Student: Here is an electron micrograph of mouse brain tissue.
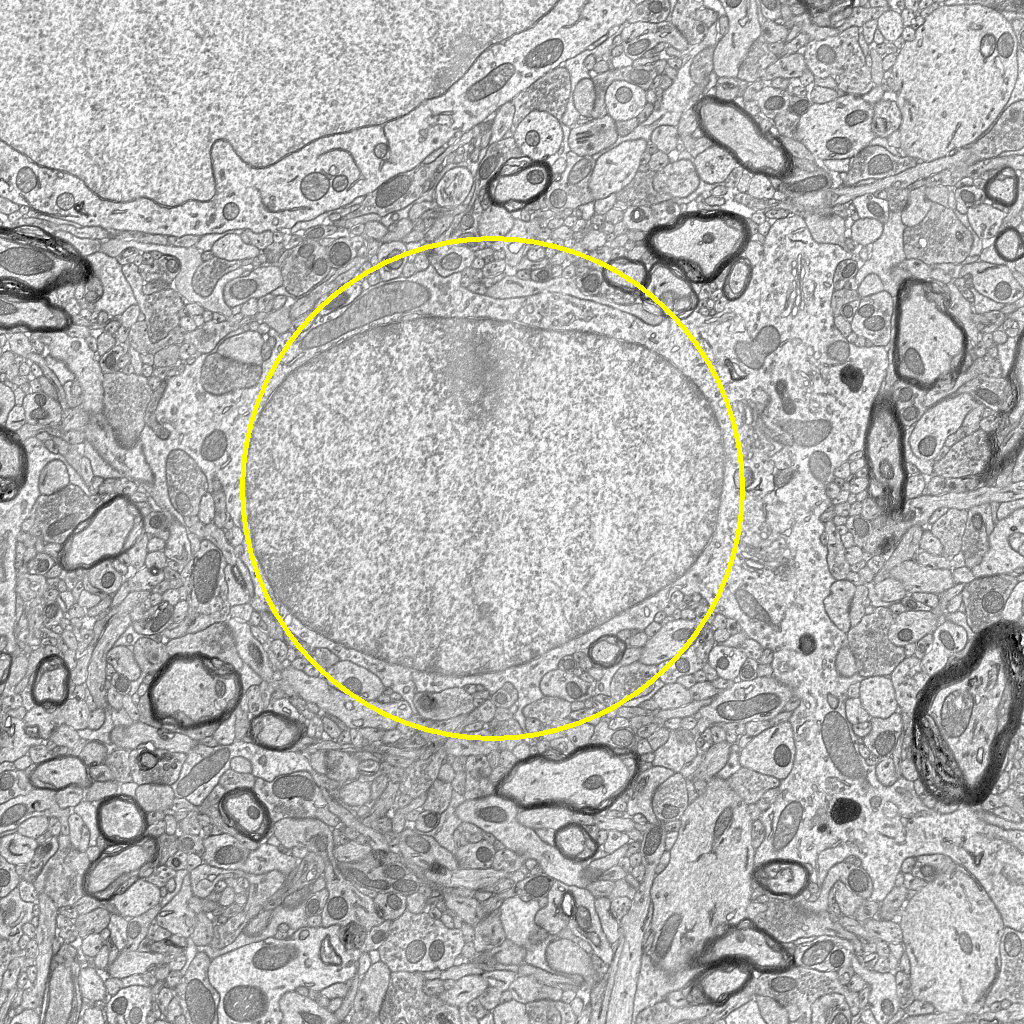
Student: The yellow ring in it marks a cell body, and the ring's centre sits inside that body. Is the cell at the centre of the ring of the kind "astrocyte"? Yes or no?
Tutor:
yes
